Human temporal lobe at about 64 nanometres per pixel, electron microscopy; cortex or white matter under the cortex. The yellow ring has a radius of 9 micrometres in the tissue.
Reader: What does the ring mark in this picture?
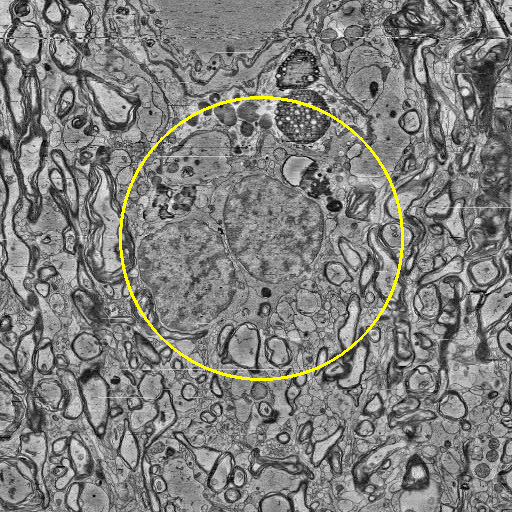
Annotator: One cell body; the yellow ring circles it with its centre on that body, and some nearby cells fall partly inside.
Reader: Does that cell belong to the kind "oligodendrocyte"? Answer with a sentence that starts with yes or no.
Yes, in this picture the ringed cell at the centre belongs to that kind.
